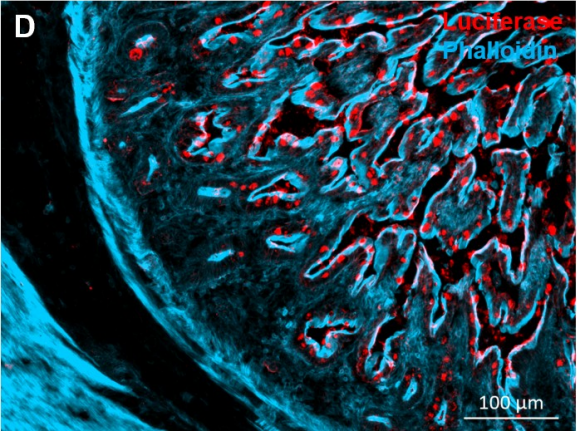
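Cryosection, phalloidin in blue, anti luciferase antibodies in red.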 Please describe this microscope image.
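This section of gut mucosa shows many finger-like villi cut in various planes, each traced by a bright blue border along its epithelial surface. Small rounded red spots lie in rows along the villous epithelium, close to these blue-lined surfaces. Dark spaces between the villi mark the lumen. At the lower left a broad band of blue fibrous tissue forms the deeper wall and carries almost no red.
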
